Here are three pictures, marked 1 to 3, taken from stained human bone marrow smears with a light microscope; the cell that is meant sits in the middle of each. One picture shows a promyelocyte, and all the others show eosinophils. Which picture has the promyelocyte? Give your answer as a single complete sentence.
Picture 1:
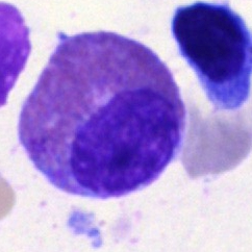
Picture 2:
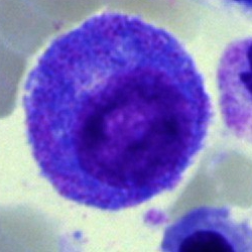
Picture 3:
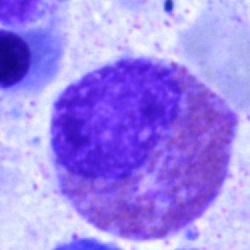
The cell in picture 2 is the promyelocyte.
